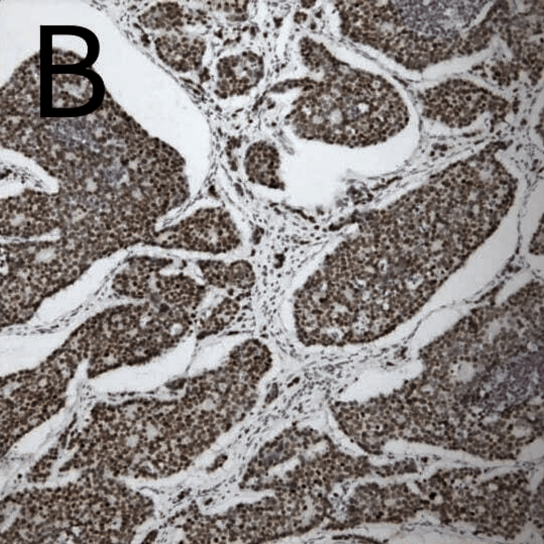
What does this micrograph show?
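Tumor cells in this section form large irregular nests and islands. They are separated by pale strands of fibrous stroma and by empty clefts. Nearly all the tumor cells carry a dark brown stain, spread diffusely through the nests.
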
